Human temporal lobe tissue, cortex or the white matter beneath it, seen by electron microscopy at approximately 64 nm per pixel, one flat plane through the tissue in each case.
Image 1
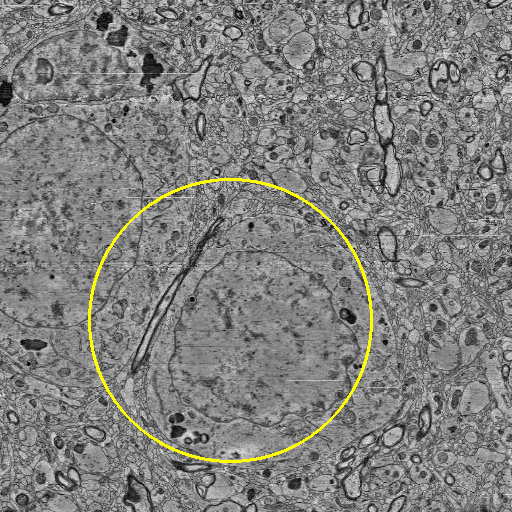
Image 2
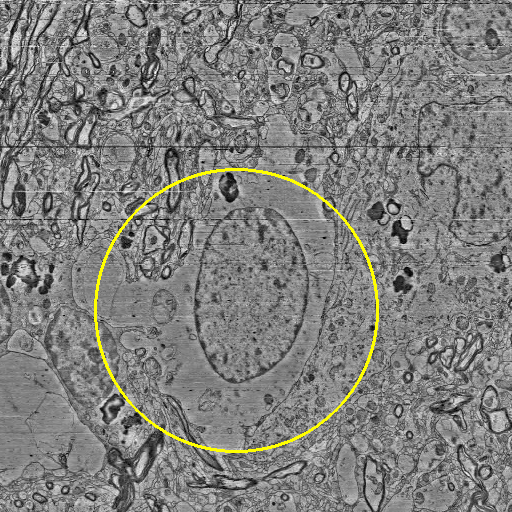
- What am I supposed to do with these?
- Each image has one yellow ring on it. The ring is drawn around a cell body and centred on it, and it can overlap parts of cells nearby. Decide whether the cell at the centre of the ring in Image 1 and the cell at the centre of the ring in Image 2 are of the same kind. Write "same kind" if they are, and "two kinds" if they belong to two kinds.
two kinds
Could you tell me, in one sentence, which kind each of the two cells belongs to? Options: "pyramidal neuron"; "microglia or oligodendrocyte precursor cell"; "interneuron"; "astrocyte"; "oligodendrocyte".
At the centre of the first ring sits a pyramidal neuron, and at the centre of the second sits an astrocyte.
